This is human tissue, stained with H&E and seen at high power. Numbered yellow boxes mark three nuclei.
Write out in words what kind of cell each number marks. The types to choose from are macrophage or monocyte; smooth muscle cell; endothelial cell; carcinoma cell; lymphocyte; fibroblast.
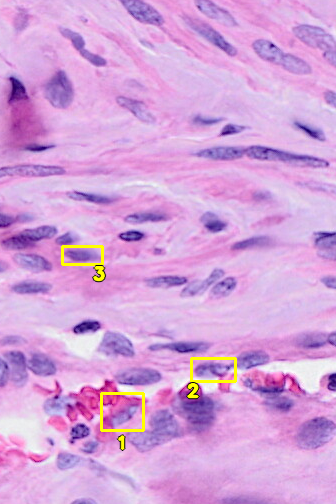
Cell 1 is an endothelial cell, cell 2 is an endothelial cell and cell 3 is a smooth muscle cell.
